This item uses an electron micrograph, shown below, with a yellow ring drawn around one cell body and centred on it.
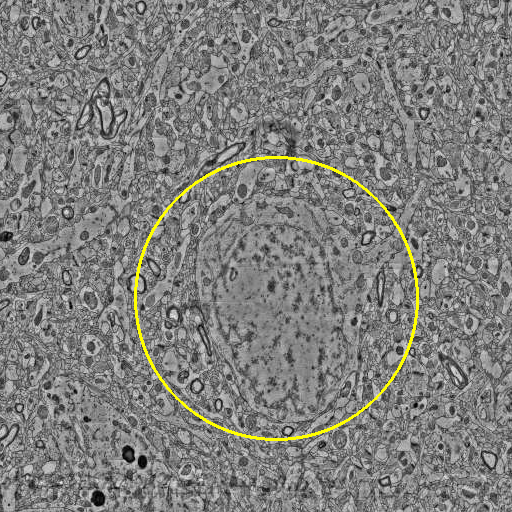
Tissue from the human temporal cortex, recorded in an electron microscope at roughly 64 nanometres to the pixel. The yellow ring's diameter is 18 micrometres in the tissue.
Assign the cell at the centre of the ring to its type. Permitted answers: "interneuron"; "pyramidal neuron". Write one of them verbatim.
interneuron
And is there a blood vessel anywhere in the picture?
No.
